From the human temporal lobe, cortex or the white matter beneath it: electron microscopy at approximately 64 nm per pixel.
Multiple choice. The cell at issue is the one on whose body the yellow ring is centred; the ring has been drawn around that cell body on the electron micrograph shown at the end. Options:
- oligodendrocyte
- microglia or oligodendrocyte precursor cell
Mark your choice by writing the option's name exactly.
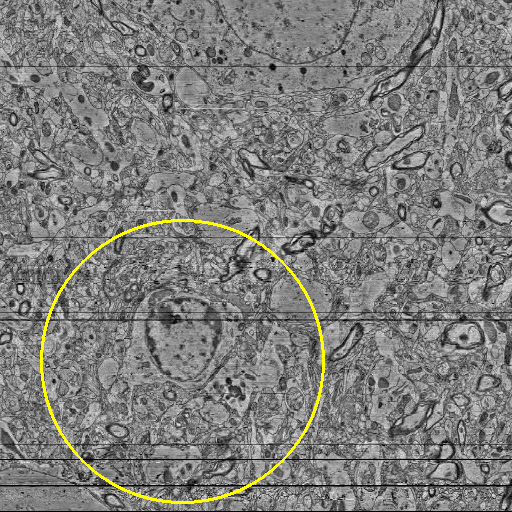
microglia or oligodendrocyte precursor cell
